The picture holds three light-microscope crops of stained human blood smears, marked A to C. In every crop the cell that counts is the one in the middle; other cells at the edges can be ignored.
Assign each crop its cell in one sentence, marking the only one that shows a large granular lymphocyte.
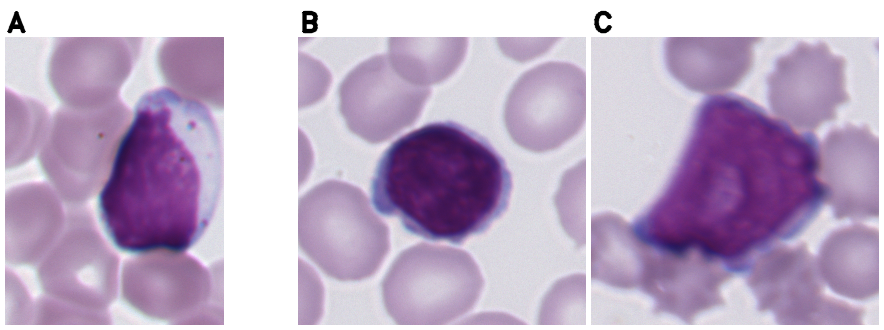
Crop A shows a large granular lymphocyte in its middle, while crop B is a typical lymphocyte and crop C is a myeloblast.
